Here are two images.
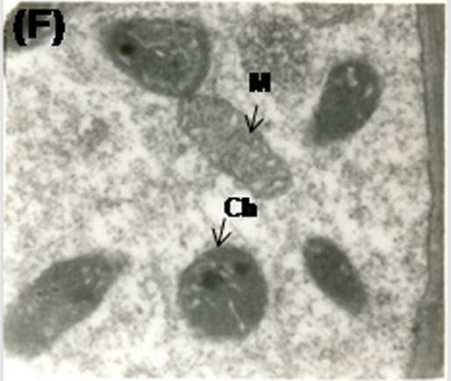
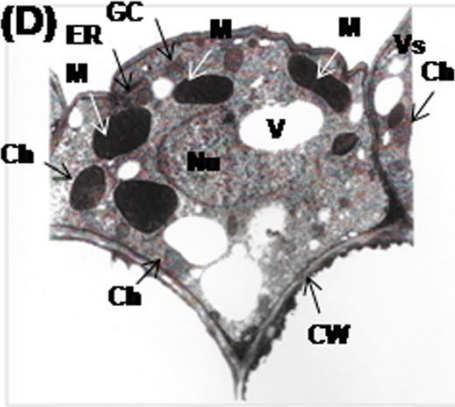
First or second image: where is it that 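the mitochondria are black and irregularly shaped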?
The second image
